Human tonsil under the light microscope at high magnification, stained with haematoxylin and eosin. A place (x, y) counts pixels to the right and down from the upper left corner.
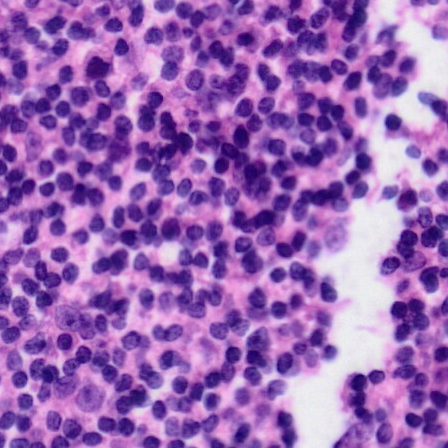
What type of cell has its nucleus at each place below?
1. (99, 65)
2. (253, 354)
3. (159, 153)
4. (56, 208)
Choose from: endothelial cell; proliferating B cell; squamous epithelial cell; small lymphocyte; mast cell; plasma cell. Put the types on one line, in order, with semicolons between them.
proliferating B cell; small lymphocyte; small lymphocyte; small lymphocyte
